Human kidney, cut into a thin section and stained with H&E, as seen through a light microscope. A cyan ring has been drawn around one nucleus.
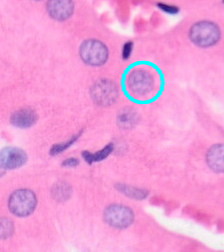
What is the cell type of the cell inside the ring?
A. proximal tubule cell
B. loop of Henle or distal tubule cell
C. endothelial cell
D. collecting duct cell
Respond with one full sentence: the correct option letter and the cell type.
The correct option is A, as the cell inside the ring is a proximal tubule cell.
